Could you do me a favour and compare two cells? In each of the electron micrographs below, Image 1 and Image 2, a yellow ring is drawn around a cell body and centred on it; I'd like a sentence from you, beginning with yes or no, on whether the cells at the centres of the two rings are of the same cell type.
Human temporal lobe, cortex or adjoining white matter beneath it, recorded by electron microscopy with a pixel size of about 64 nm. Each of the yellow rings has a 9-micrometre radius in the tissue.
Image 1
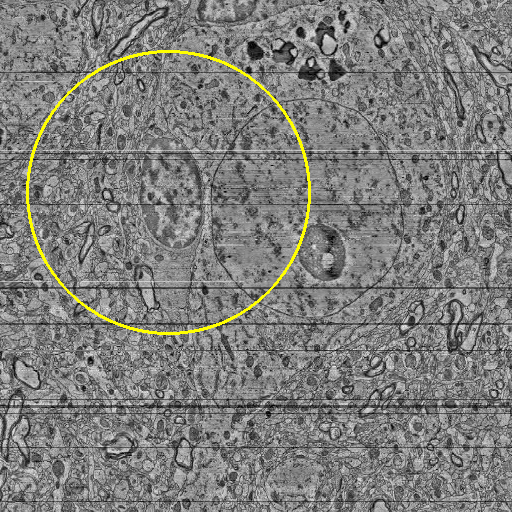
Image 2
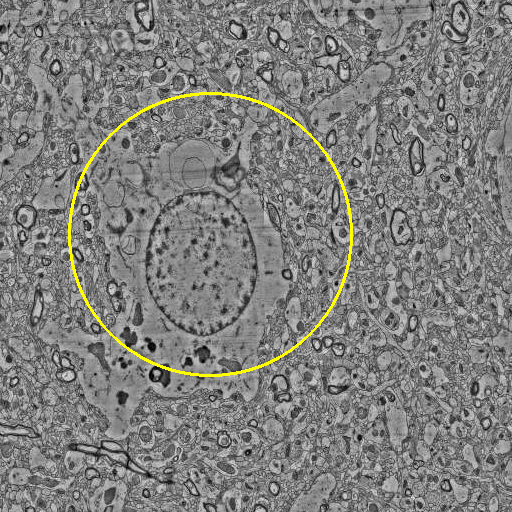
No, the two cells are of two cell types.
